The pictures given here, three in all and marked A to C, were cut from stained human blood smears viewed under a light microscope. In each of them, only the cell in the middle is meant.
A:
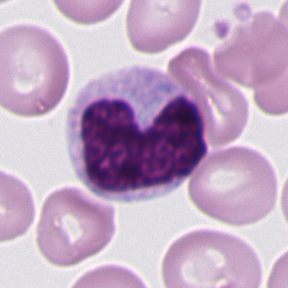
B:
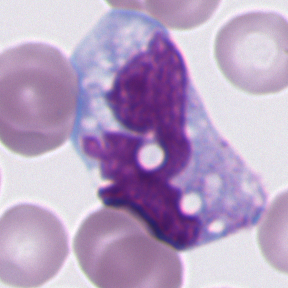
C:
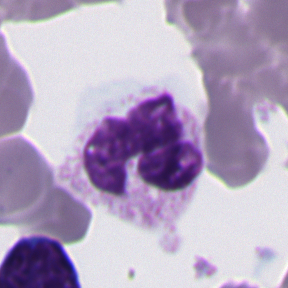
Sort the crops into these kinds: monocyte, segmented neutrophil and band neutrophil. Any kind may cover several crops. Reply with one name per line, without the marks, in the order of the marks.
band neutrophil
monocyte
segmented neutrophil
